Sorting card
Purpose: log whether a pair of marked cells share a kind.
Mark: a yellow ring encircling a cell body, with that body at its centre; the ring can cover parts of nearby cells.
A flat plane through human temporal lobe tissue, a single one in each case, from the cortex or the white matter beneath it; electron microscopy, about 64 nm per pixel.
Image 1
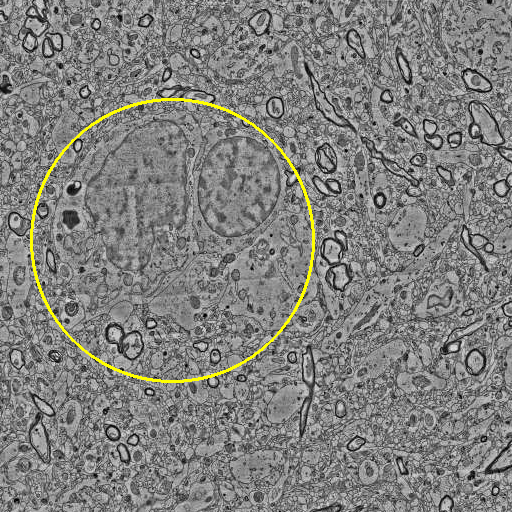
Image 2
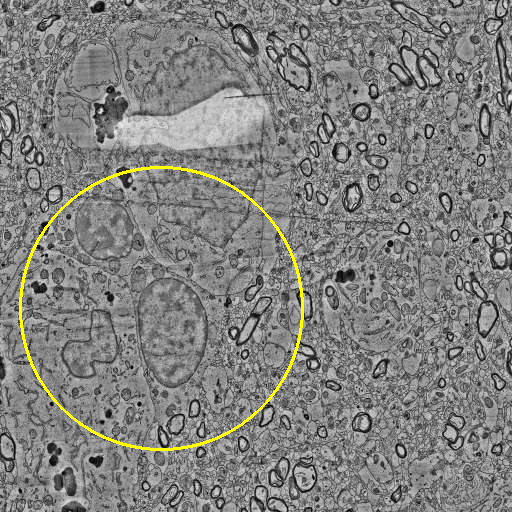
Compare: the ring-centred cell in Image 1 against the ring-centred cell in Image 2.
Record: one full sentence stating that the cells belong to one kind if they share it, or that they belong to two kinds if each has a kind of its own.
Across Images 1 and 2, the two ring-centred cells belong to one kind.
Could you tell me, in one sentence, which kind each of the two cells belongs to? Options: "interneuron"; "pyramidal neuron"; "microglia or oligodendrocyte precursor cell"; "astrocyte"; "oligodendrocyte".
Both the first and the second picture show an oligodendrocyte in the ring.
